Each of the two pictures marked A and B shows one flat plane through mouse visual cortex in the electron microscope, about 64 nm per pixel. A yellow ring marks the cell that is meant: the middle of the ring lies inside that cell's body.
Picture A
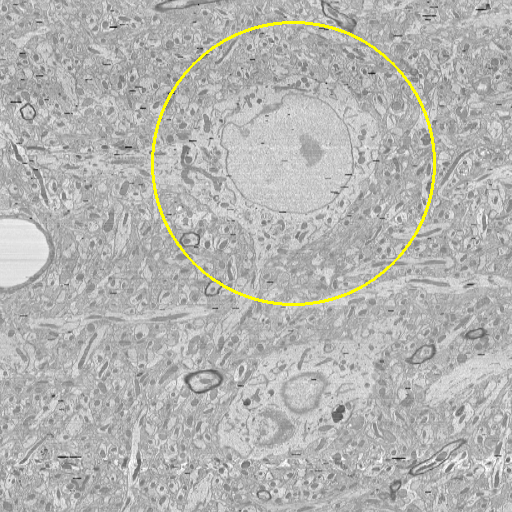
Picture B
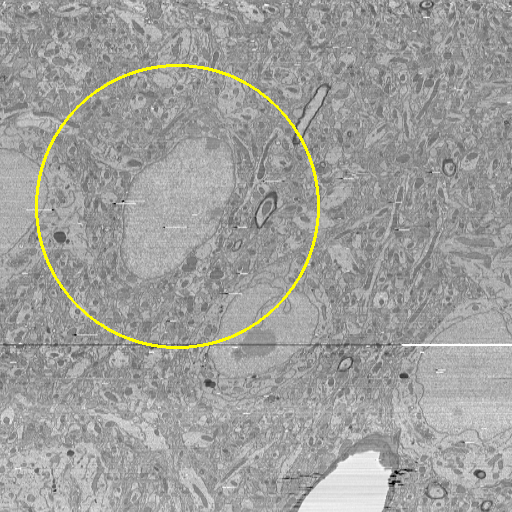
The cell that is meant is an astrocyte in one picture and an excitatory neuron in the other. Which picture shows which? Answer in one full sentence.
Picture A is of an excitatory neuron, and picture B is of an astrocyte.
